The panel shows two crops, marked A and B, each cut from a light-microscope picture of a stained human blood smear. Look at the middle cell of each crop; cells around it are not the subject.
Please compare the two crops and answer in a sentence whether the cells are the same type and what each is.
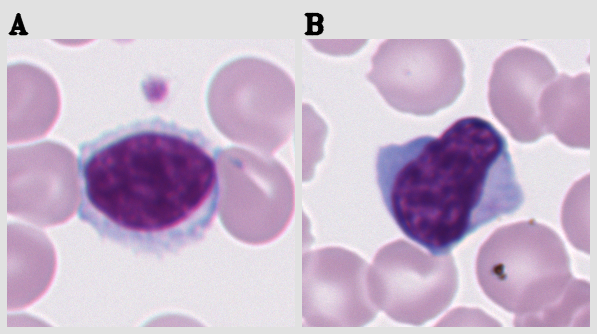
Yes, typical lymphocytes are the central cells in the two crops.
